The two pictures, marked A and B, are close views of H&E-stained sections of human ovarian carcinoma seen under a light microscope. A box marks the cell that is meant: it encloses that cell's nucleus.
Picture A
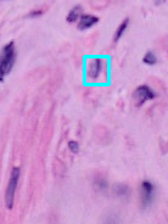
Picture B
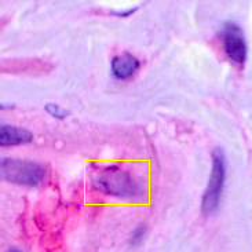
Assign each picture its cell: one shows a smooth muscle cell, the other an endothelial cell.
A: smooth muscle cell
B: endothelial cell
